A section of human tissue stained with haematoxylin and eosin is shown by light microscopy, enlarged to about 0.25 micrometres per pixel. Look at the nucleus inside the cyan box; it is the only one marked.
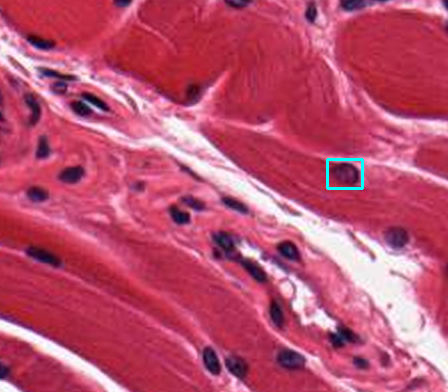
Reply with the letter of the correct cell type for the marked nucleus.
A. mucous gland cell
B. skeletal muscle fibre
B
